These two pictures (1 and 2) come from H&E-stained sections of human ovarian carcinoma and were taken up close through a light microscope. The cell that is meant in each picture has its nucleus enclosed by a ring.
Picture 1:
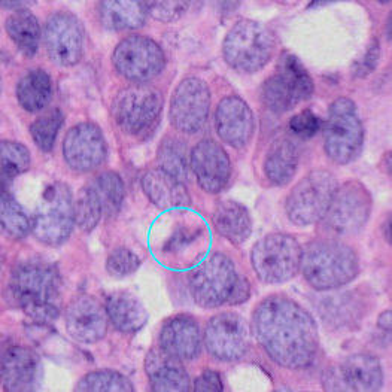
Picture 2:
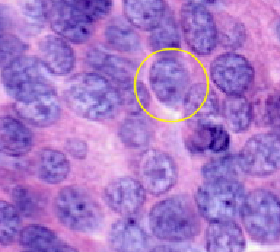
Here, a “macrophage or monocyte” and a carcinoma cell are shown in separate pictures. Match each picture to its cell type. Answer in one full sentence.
In picture 1 the cell is a “macrophage or monocyte”; in picture 2, a carcinoma cell.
